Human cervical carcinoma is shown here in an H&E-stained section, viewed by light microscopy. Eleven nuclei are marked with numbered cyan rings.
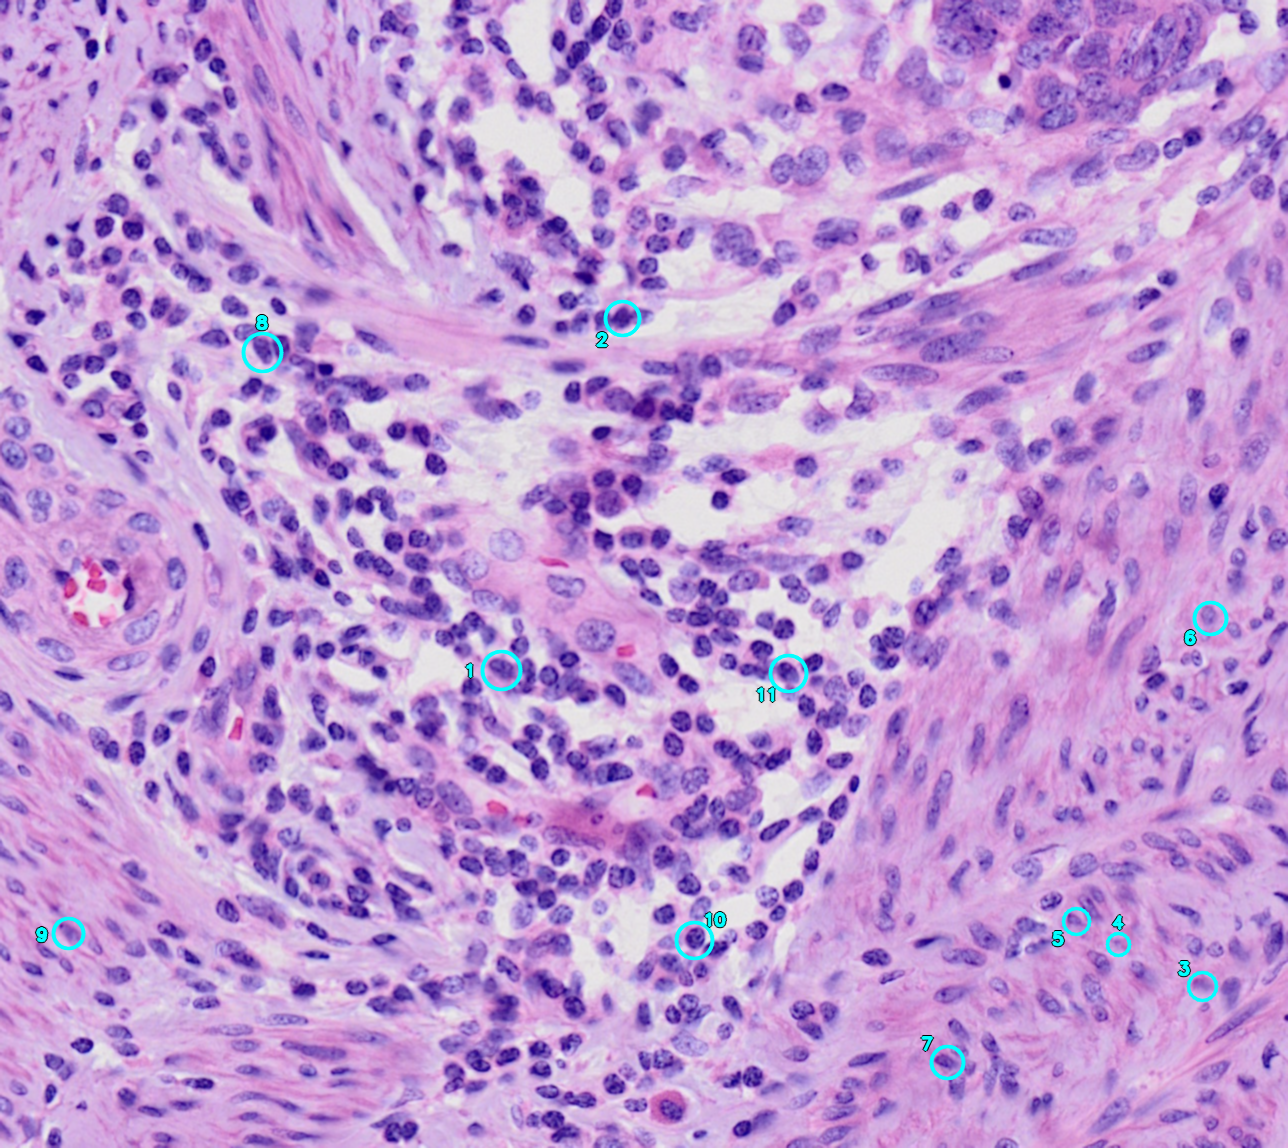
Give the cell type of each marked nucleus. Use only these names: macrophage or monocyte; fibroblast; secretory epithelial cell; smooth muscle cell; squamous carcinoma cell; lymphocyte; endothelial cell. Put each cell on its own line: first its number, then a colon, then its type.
1: lymphocyte
2: lymphocyte
3: smooth muscle cell
4: smooth muscle cell
5: smooth muscle cell
6: smooth muscle cell
7: smooth muscle cell
8: lymphocyte
9: smooth muscle cell
10: lymphocyte
11: lymphocyte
